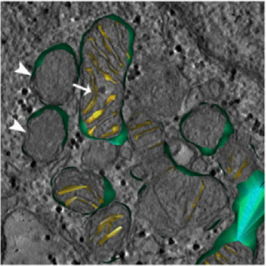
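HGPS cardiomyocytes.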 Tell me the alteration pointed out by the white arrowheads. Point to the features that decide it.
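Absence of cristae. The arrowheads point to organelles outlined in green with no yellow internal folds.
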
